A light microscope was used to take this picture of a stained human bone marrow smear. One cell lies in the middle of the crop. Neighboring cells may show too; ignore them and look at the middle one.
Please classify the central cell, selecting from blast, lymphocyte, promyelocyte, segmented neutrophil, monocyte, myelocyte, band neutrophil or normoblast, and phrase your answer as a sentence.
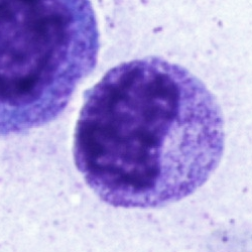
What sits at the centre of this crop is a promyelocyte.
